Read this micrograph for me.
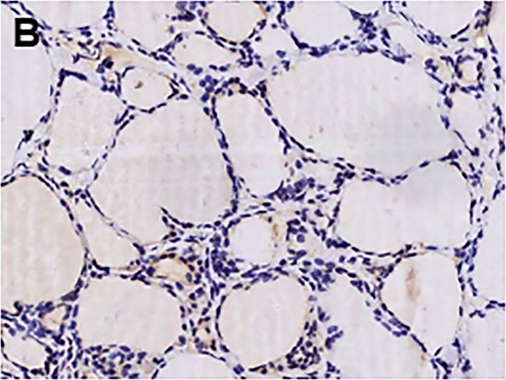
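This is normal thyroid gland made up of many round follicles of varying size. Each follicle is filled with pale pinkish-beige colloid. The follicles are lined by a single layer of flat to low cuboidal epithelial cells with small, round, dark blue nuclei. The cytoplasm of the lining cells shows at most faint brown staining. Between the follicles lies a thin interstitium with scattered small nuclei.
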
